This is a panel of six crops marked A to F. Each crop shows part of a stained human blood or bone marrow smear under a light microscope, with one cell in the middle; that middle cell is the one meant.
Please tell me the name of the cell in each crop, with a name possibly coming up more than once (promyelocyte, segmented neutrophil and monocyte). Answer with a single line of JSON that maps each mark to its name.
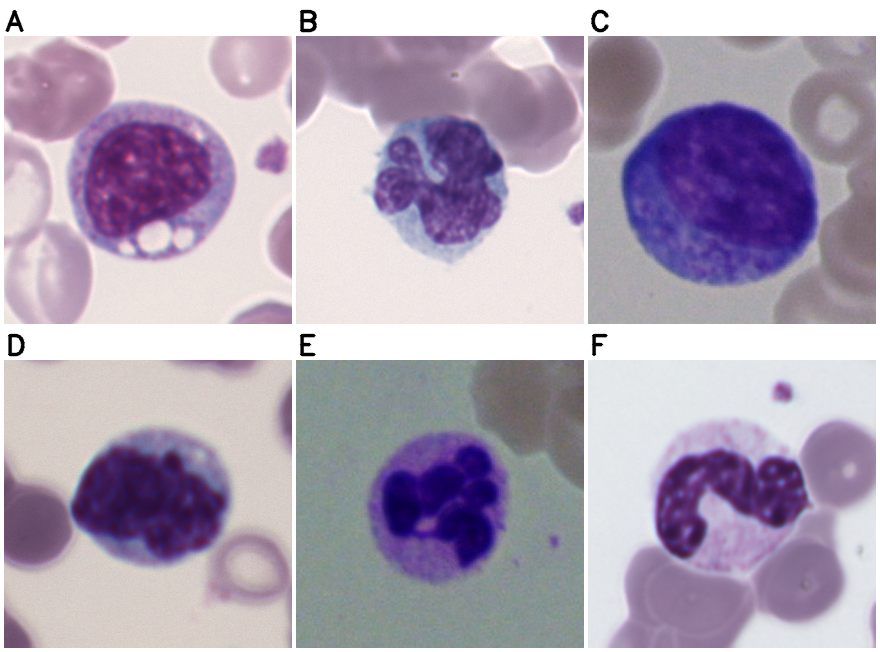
{"A": "promyelocyte", "B": "monocyte", "C": "promyelocyte", "D": "monocyte", "E": "segmented neutrophil", "F": "segmented neutrophil"}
